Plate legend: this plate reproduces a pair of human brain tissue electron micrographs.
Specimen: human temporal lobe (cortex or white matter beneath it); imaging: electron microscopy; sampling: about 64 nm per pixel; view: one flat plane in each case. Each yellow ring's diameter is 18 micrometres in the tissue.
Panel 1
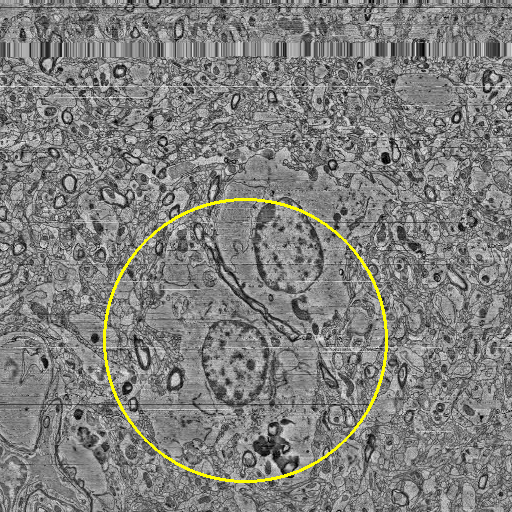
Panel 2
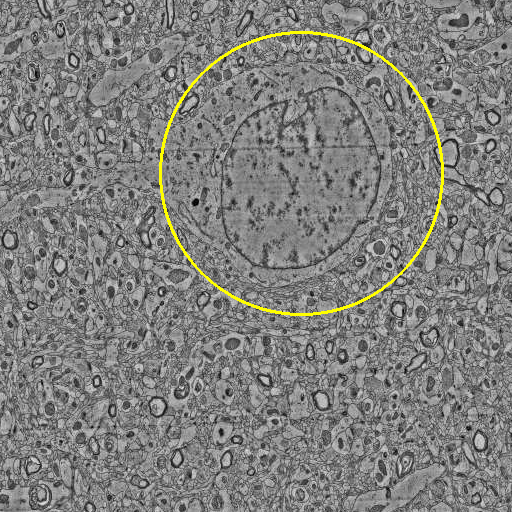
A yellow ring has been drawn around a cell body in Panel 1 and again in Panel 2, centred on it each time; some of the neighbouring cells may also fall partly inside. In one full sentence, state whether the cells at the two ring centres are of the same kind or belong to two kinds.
The ring-centred cells of Panel 1 and Panel 2 belong to two kinds.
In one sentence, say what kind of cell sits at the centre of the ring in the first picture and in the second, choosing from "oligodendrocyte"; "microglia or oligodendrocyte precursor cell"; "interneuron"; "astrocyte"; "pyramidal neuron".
The first picture's ringed cell is an astrocyte, while the second picture's is a pyramidal neuron.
